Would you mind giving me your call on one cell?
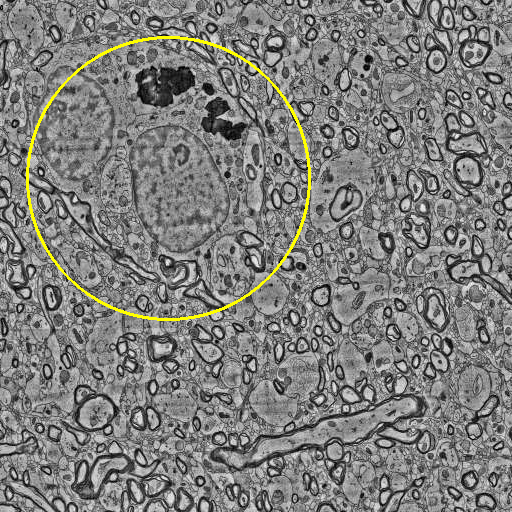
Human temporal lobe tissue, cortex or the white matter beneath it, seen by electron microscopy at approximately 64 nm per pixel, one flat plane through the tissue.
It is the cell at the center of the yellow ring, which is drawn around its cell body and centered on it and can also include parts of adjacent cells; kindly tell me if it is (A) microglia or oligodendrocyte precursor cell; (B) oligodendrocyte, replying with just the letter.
B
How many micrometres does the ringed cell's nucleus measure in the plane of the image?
The nucleus comes to roughly 8 by 6 micrometres in this plane.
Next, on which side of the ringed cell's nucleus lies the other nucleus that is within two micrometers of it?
The other nucleus is positioned to the upper left of it.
